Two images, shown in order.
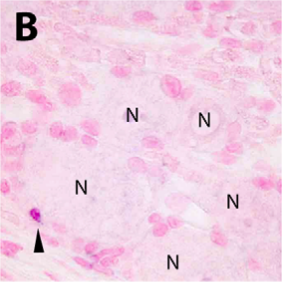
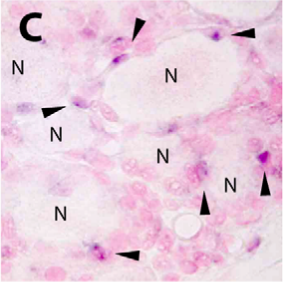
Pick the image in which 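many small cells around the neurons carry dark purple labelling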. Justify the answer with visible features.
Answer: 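Second image: several small cells at the rims of the large neuronal bodies are dark purple.
Hence: the second image.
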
